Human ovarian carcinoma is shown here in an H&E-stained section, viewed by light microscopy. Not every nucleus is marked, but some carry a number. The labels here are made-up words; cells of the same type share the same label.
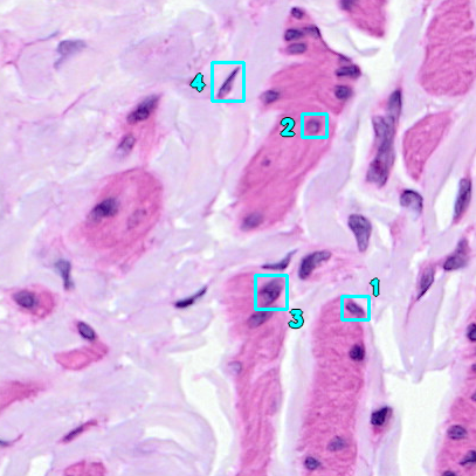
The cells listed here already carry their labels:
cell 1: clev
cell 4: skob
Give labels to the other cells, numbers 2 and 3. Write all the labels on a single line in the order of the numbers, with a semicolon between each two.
clev; clev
